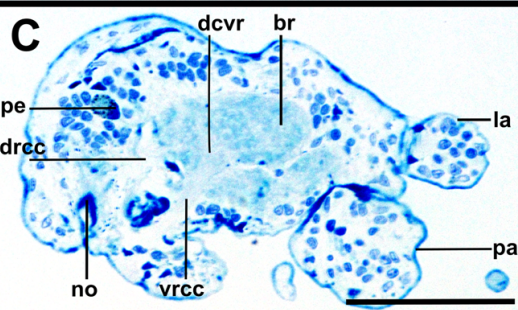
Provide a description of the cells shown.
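A blue-stained cross section shows a central pale, finely textured region without nuclei, surrounded on most sides by many small round nuclei packed closely together. Paler fibrous strands extend from the central region downward and to the sides. At the upper left a small greenish pigmented spot lies among the nuclei, and at the lower left a darkly stained structure sits at the edge. Separate rounded appendages filled with nuclei lie to the right. This is the brain, with its central neuropil enveloped by nerve cell bodies, and the roots of the circumoesophageal connectives leaving it.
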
